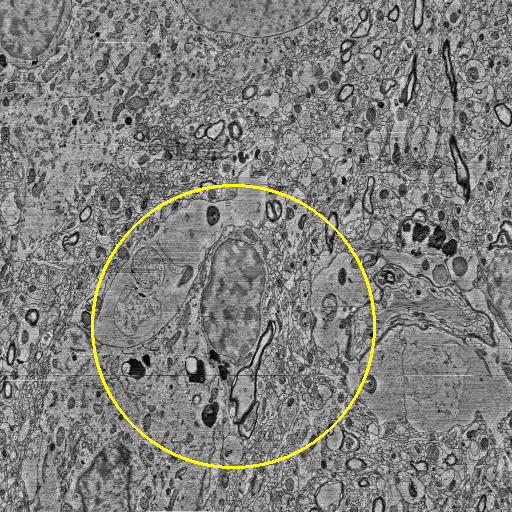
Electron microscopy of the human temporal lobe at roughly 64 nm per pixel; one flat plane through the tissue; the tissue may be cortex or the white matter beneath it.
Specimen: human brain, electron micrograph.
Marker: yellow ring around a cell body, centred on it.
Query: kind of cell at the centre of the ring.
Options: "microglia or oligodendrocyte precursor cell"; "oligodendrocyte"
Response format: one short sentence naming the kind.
This cell body belongs to an oligodendrocyte.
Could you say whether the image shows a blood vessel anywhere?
Yes, a blood vessel shows in the picture.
